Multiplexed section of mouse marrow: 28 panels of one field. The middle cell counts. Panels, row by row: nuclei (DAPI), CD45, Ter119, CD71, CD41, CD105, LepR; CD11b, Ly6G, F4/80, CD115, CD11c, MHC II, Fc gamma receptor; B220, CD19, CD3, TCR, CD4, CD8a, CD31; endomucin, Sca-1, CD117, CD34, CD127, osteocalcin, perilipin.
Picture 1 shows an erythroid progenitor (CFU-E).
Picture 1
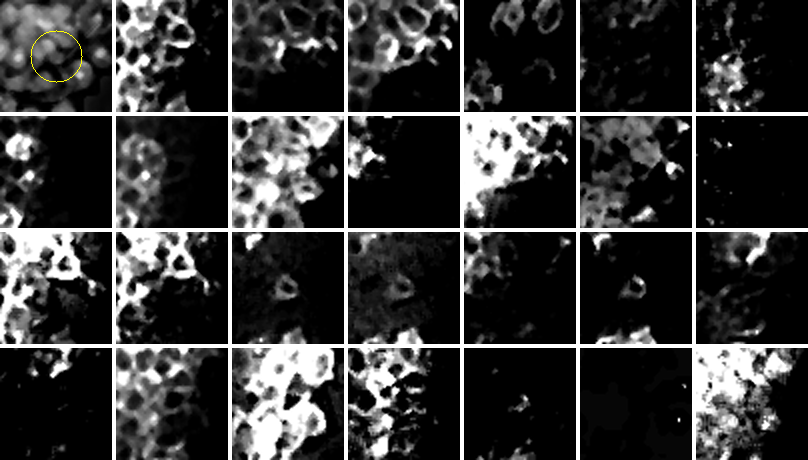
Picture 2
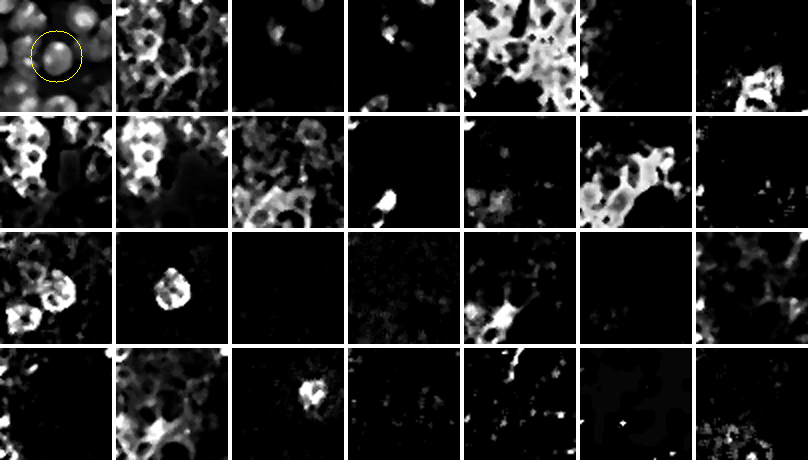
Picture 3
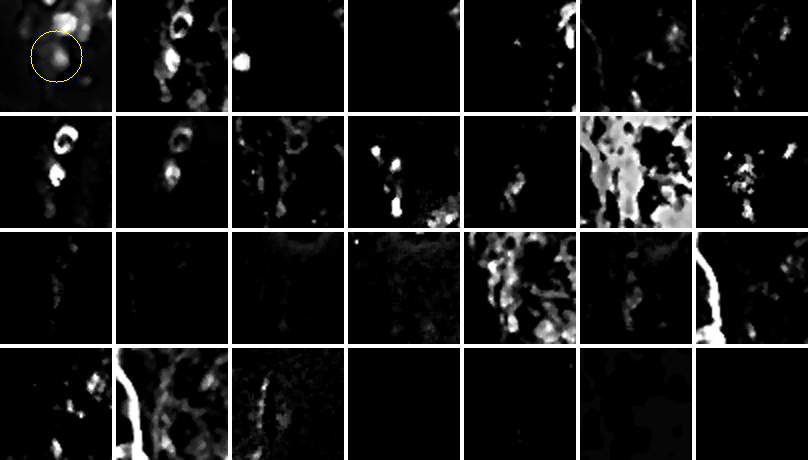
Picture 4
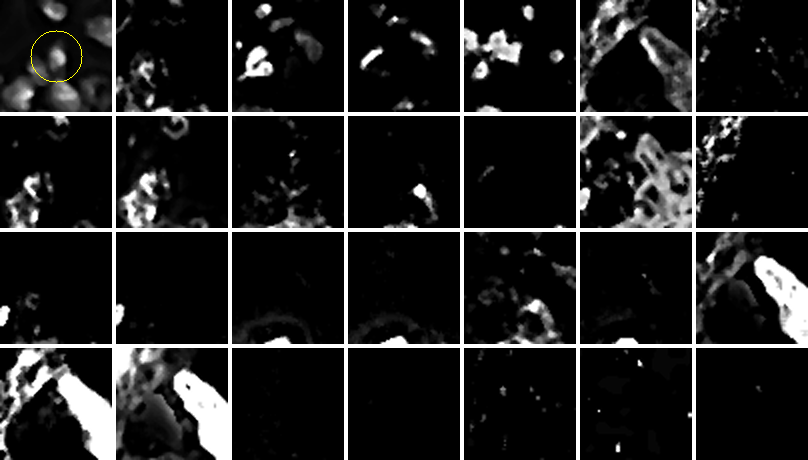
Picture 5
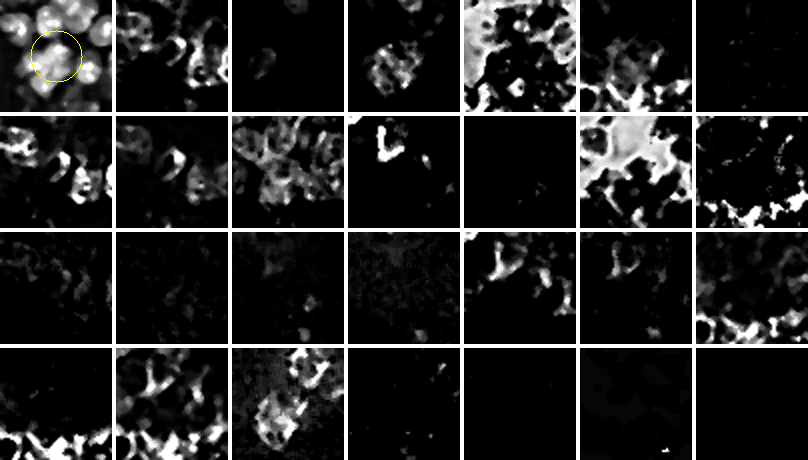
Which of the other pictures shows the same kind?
Picture 5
